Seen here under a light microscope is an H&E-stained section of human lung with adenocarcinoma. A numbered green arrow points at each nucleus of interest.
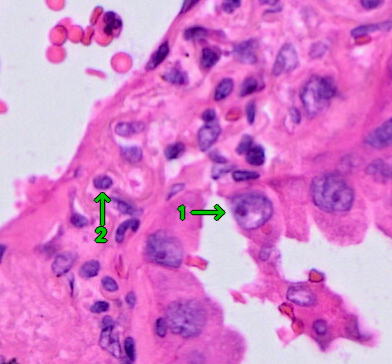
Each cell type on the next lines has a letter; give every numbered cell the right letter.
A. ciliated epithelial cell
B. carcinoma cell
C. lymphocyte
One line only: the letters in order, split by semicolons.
B; C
